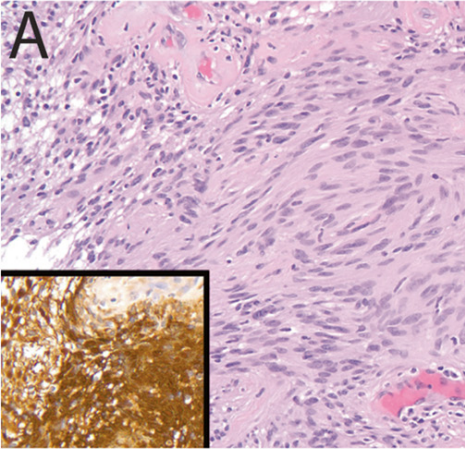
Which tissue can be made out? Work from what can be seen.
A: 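Spindle cells with elongated, tapered nuclei arranged in sweeping fascicles. Pink fibrillary cytoplasm and stroma between the nuclei. Thick-walled pink vessels within the tumor.
Answer: schwannoma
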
